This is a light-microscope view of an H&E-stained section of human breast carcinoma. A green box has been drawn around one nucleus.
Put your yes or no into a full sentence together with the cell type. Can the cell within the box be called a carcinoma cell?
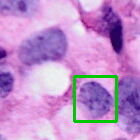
Yes, correct on this one: the cell within the box is a carcinoma cell.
